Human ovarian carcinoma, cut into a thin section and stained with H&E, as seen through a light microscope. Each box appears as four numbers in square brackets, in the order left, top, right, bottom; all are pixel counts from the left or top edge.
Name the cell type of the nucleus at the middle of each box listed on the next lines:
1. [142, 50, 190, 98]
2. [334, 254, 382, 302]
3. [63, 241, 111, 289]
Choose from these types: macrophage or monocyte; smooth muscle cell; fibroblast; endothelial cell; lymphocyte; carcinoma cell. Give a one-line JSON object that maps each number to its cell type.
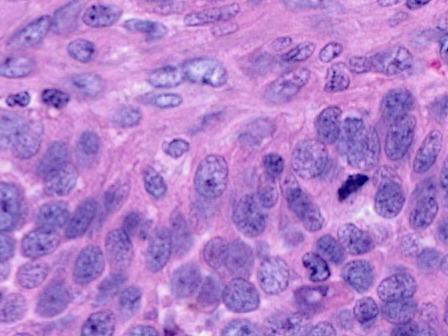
{"1": "fibroblast", "2": "carcinoma cell", "3": "carcinoma cell"}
